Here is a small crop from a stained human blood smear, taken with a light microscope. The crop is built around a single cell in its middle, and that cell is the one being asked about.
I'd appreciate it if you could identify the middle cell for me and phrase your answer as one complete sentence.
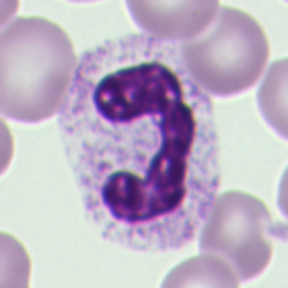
The cell in the middle of this crop is a segmented neutrophil.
